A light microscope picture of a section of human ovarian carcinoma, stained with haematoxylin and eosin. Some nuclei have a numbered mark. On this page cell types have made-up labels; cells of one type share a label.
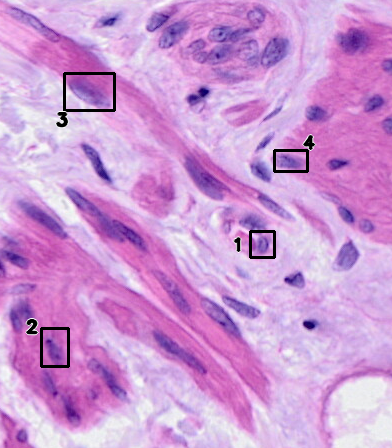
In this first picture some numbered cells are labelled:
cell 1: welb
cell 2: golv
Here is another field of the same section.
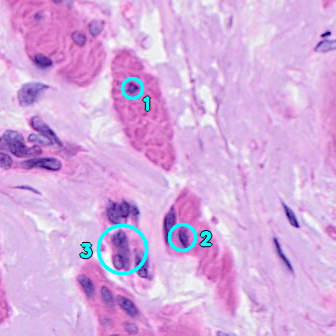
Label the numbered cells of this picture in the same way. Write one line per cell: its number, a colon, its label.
1: golv
2: golv
3: welb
